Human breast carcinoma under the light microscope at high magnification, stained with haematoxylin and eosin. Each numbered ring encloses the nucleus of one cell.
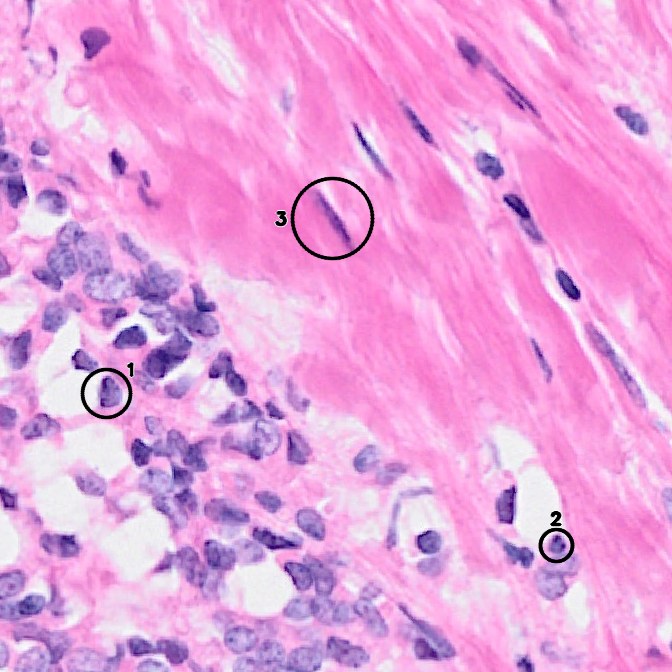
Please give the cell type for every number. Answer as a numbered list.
1. carcinoma cell
2. lymphocyte
3. fibroblast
